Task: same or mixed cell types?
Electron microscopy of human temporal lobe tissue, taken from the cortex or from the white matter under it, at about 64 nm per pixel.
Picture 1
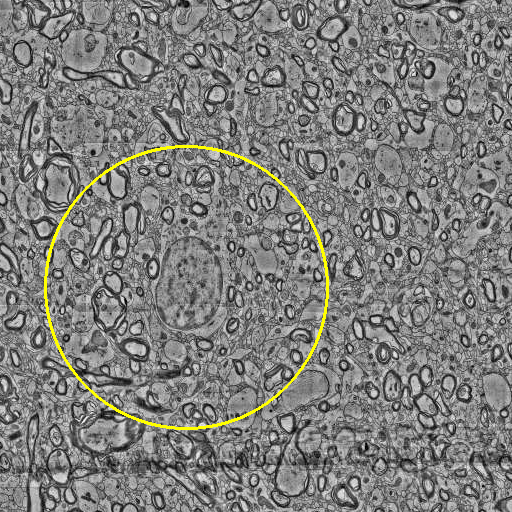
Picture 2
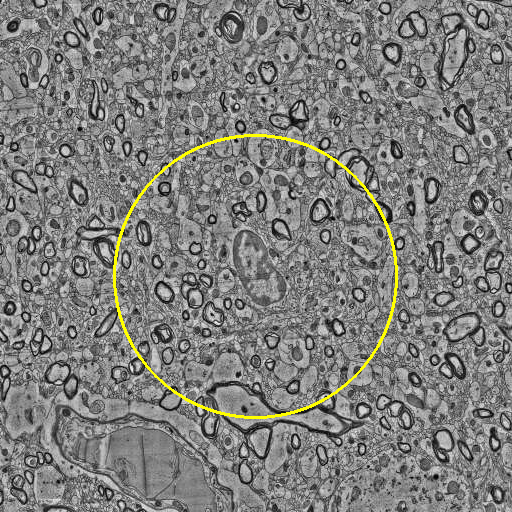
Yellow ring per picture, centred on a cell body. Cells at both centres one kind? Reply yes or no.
yes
